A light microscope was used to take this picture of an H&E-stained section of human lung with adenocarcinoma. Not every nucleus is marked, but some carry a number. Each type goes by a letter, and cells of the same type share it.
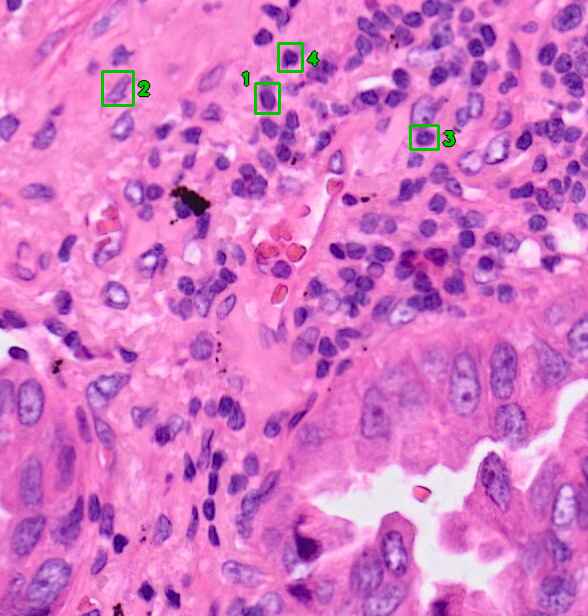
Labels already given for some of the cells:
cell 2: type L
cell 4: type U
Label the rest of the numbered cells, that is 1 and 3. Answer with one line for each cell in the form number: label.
1: type U
3: type U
